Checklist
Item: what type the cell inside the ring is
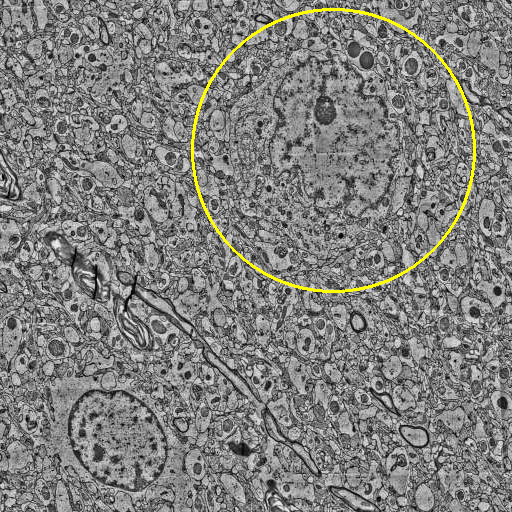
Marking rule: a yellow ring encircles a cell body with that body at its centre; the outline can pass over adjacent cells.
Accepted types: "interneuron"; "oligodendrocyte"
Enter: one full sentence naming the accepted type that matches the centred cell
The entry is that an interneuron lies at the centre of the yellow ring.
